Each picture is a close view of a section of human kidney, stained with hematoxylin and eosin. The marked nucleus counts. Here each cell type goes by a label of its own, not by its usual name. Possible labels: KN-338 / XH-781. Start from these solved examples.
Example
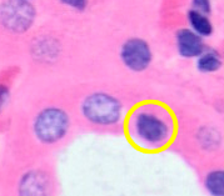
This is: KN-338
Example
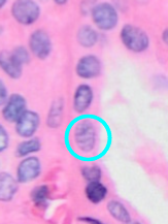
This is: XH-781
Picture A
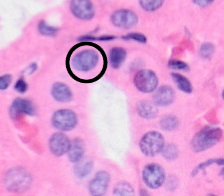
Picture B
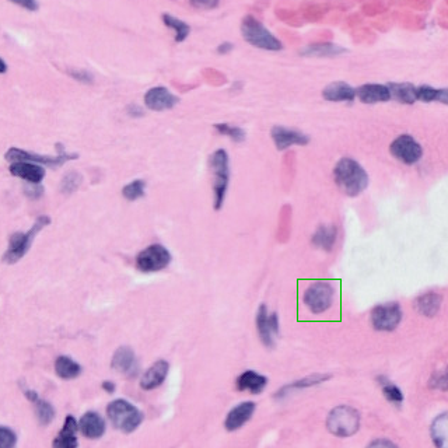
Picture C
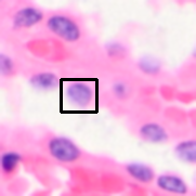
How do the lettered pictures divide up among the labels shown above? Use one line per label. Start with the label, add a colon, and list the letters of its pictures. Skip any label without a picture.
KN-338: B, C
XH-781: A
